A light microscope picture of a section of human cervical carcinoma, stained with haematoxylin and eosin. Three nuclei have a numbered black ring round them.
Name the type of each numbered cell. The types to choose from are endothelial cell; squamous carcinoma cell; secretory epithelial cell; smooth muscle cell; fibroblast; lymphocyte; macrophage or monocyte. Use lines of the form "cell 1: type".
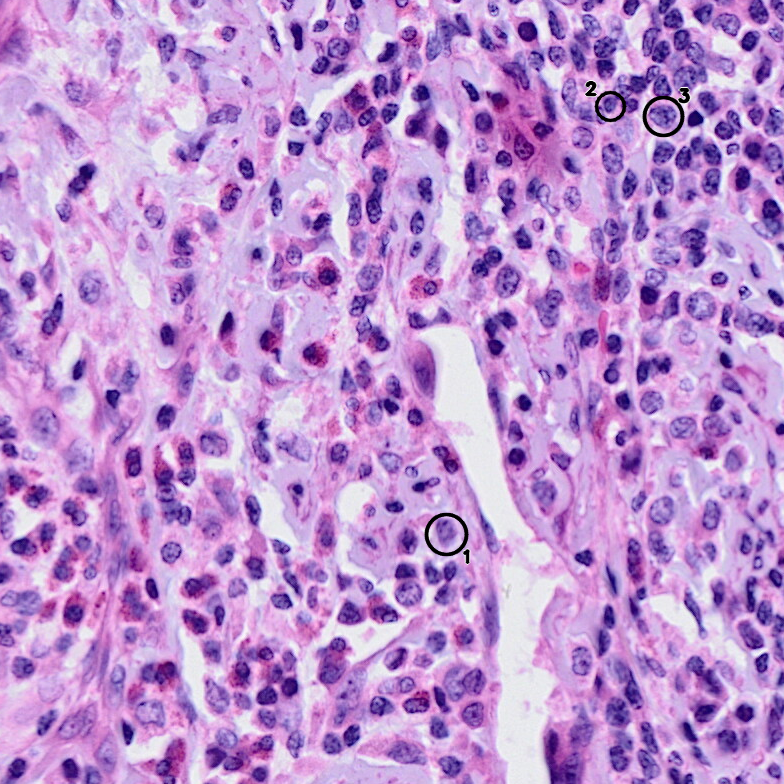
cell 1: macrophage or monocyte
cell 2: lymphocyte
cell 3: lymphocyte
